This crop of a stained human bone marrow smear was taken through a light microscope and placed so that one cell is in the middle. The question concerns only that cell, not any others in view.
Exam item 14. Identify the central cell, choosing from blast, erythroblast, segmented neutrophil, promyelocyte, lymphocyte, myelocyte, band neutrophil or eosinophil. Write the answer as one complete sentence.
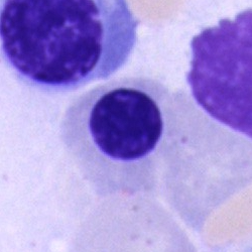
The crop shows an erythroblast in its centre.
